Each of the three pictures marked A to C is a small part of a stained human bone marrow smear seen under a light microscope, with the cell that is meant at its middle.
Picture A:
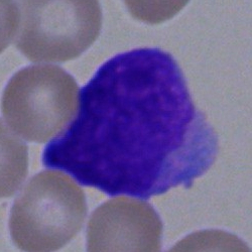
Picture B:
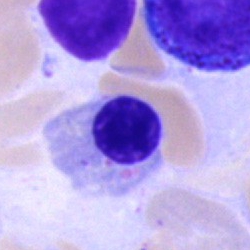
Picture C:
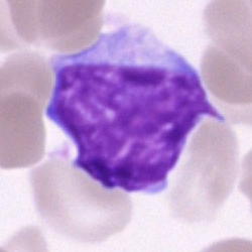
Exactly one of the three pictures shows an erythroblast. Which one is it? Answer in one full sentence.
The erythroblast is the one in picture B.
